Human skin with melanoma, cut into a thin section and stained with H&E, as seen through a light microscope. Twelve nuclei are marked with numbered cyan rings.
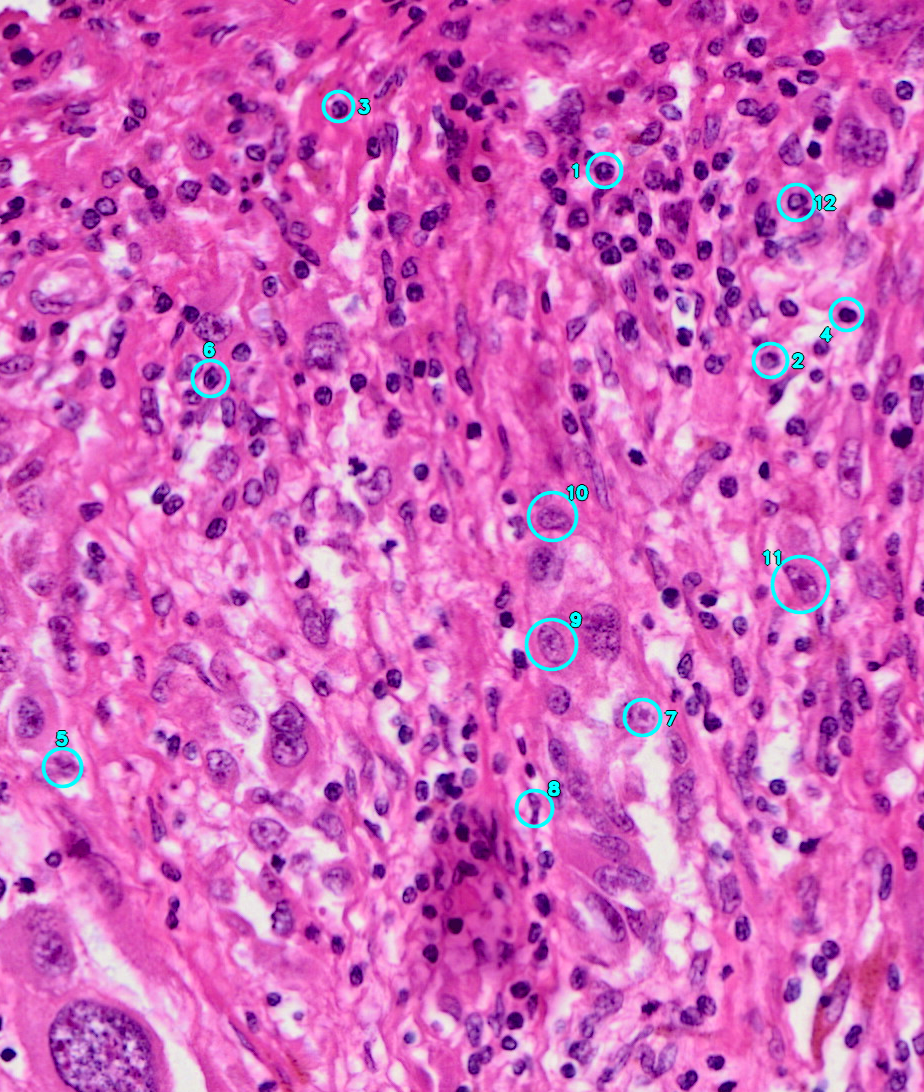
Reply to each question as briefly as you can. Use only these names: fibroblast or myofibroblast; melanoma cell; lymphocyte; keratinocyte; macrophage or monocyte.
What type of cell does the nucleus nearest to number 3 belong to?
fibroblast or myofibroblast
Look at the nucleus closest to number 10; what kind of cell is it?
melanoma cell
